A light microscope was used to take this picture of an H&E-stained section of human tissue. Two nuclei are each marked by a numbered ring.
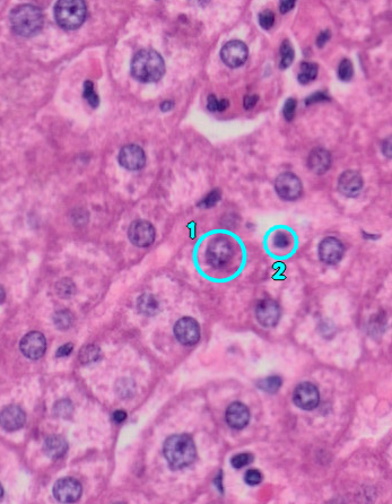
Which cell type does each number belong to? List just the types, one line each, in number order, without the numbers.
hepatocyte
lymphocyte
